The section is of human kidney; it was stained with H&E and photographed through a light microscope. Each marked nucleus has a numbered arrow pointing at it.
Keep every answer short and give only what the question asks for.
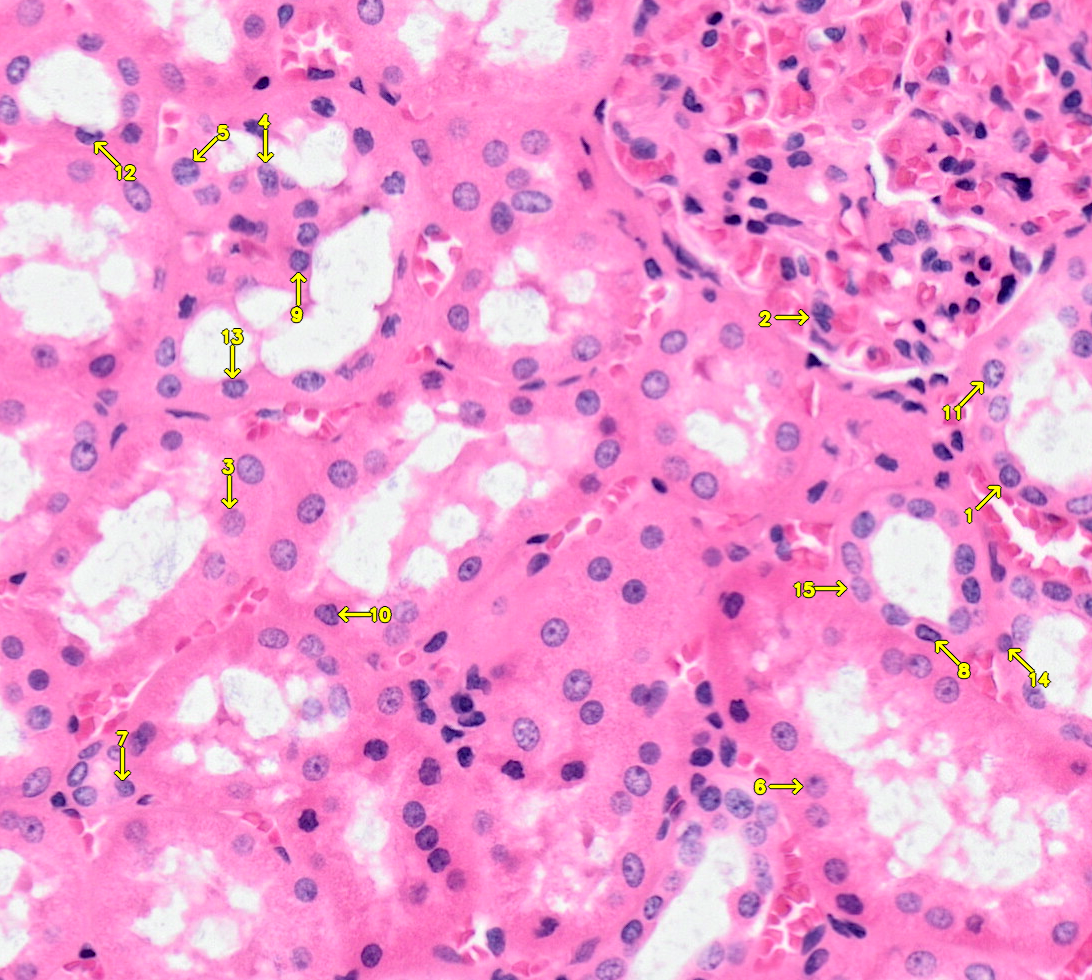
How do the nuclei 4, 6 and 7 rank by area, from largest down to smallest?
4, 6, 7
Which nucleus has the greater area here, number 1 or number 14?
1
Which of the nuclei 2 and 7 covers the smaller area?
7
